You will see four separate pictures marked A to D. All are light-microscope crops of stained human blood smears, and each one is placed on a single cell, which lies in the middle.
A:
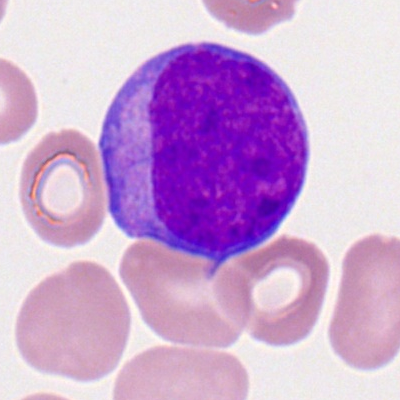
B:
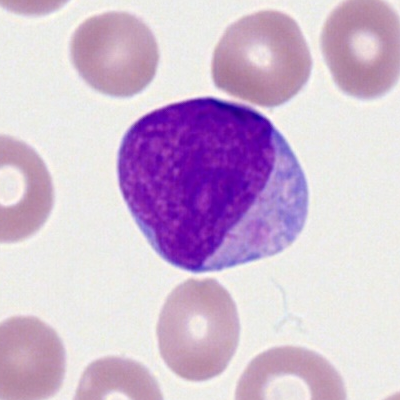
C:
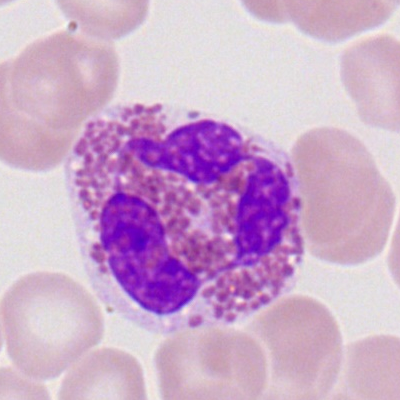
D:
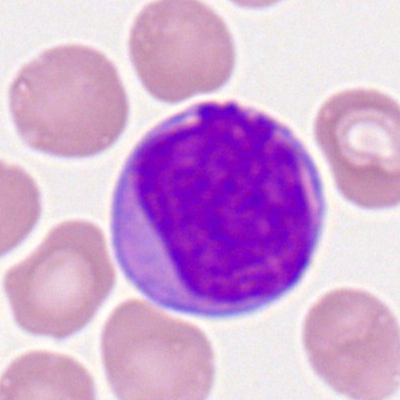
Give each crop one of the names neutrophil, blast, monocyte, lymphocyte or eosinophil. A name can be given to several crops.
A: blast
B: blast
C: eosinophil
D: blast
